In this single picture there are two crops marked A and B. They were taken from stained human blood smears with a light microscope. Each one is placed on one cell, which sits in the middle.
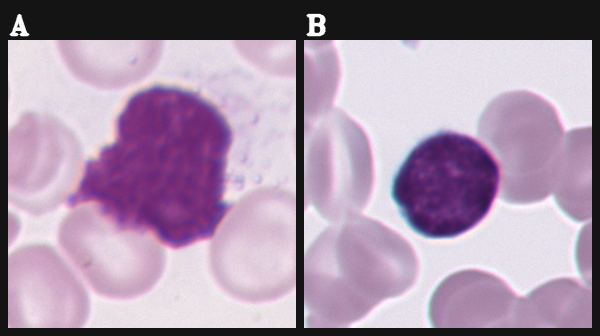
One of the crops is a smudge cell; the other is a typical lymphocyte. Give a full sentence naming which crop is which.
Crop A shows a smudge cell, whereas crop B shows a typical lymphocyte.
